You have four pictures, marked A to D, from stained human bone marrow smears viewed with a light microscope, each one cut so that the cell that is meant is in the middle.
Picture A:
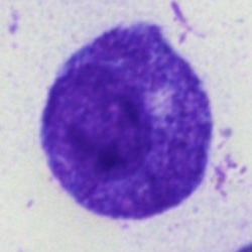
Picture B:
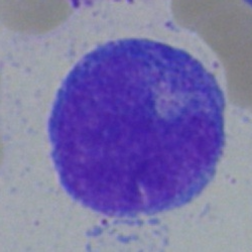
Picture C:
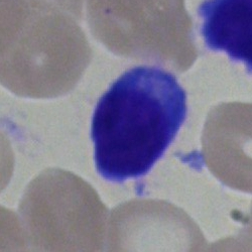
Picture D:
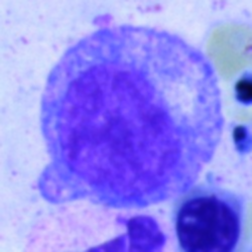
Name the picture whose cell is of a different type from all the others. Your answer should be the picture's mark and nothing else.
C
